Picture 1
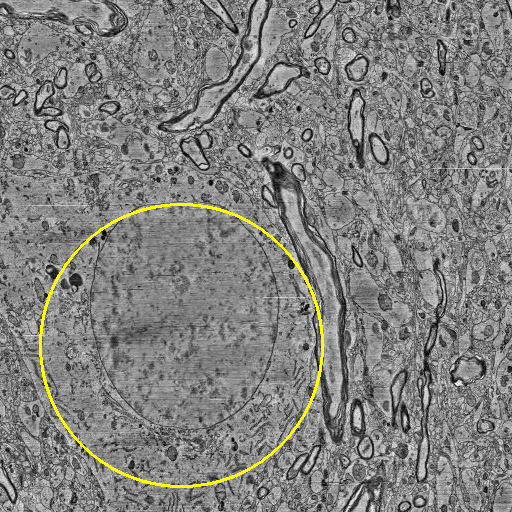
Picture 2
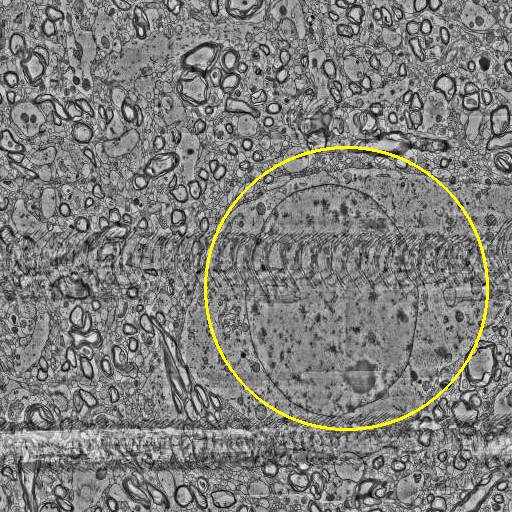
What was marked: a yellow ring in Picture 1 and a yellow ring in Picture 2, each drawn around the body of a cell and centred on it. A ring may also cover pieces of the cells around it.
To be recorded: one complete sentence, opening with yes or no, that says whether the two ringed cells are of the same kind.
Yes, the two ringed cells are of the same kind.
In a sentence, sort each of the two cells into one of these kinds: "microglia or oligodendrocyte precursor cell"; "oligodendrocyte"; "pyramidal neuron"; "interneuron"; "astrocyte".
Both the first and the second picture show a pyramidal neuron in the ring.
